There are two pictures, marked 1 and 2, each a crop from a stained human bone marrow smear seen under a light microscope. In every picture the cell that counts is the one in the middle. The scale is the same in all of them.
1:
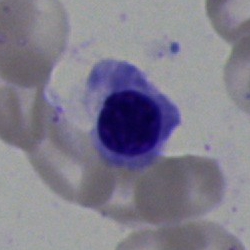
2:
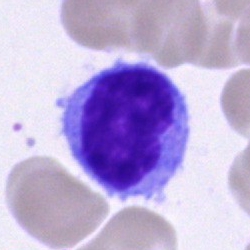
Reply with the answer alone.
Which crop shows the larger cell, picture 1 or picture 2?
2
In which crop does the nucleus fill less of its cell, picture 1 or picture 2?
1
